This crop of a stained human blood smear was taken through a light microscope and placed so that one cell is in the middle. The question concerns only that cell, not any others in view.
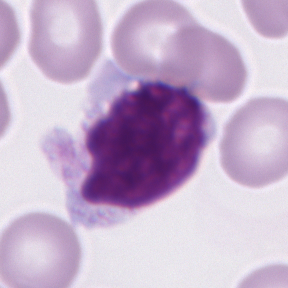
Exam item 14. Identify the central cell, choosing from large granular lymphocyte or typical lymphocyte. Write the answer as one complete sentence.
In the middle of this smear crop is a large granular lymphocyte.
